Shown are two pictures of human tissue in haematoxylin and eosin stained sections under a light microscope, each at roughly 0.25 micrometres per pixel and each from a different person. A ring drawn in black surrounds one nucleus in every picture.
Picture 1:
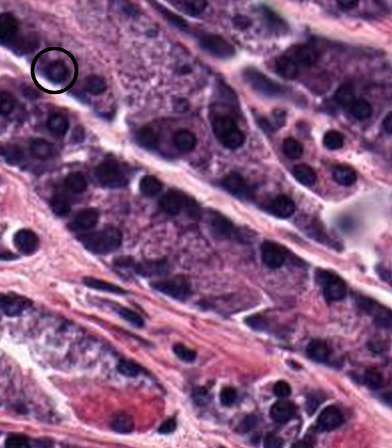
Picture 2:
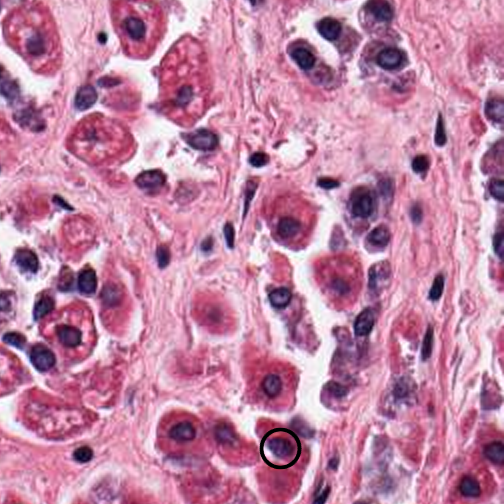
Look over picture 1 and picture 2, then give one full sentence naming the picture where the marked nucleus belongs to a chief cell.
As for picture 1, its marked nucleus belongs to a chief cell.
